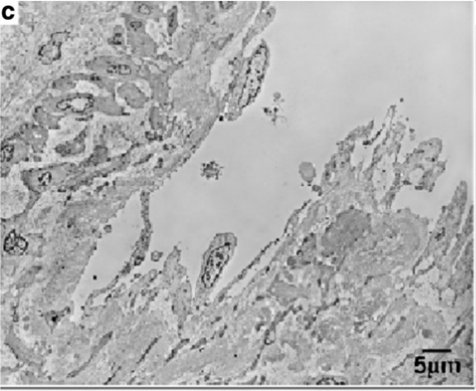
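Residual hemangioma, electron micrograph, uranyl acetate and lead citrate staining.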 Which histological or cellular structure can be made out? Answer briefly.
Caverns.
